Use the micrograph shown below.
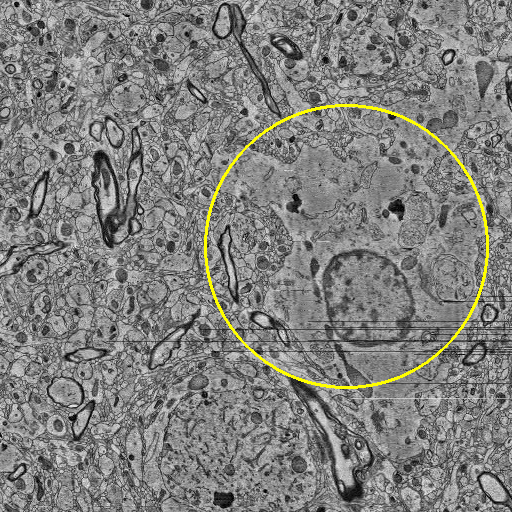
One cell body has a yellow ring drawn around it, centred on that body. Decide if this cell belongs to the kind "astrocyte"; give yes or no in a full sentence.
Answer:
Yes, the cell lying at the ring's centre in the micrograph is of the kind given.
